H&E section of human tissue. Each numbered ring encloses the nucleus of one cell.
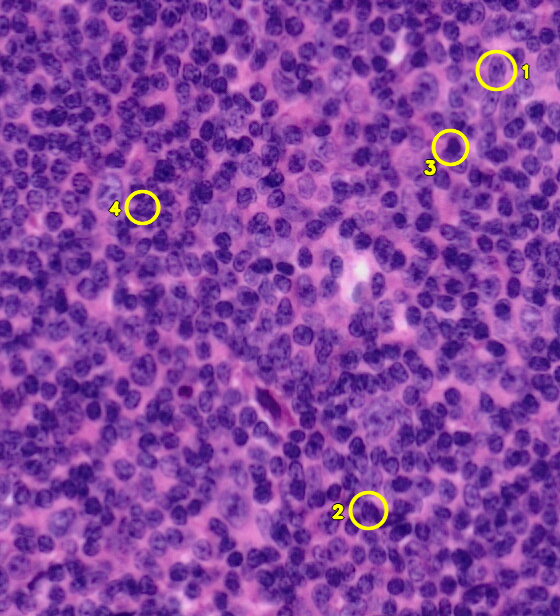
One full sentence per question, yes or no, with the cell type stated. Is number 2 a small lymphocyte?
Yes, the one with the number 2 is a small lymphocyte.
